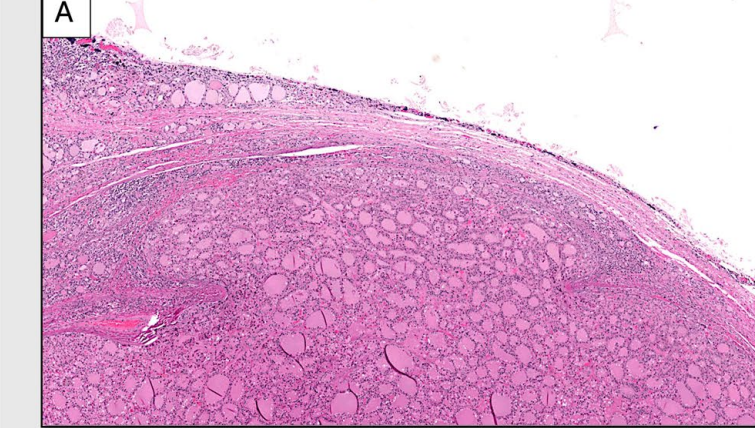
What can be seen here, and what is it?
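Thyroid tumor tissue composed of numerous small to medium follicles lined by cuboidal cells with dark purple nuclei, many follicles filled with pale pink colloid, some showing cracking artefact. A band of dense pink fibrous capsule arcs across the upper part of the field. Cellular areas with fewer, smaller follicles lie around the margins of the bulging nodule.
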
